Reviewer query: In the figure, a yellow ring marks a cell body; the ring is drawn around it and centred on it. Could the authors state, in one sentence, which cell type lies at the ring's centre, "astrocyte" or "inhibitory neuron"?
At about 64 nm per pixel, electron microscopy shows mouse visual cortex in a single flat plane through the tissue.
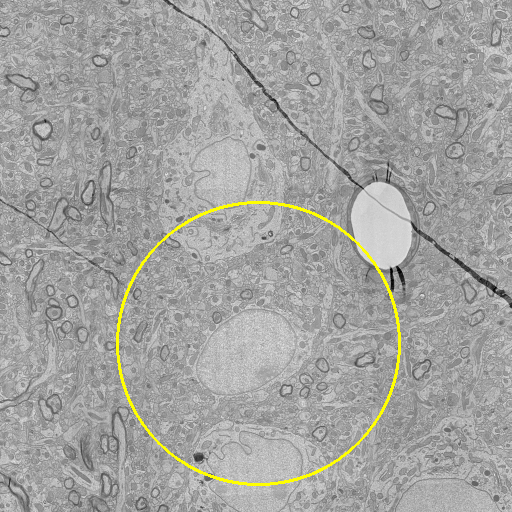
The ring is centred on an astrocyte.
